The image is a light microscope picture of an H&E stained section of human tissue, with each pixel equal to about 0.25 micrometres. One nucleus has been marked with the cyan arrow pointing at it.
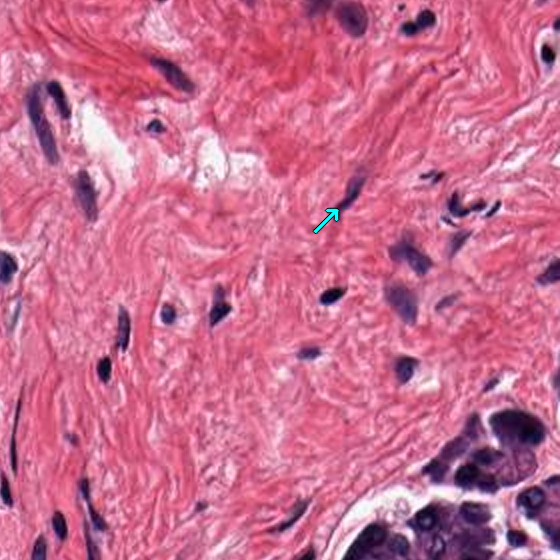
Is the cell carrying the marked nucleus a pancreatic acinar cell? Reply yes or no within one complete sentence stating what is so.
No, a supporting cell, not a pancreatic acinar cell, carries the marked nucleus.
